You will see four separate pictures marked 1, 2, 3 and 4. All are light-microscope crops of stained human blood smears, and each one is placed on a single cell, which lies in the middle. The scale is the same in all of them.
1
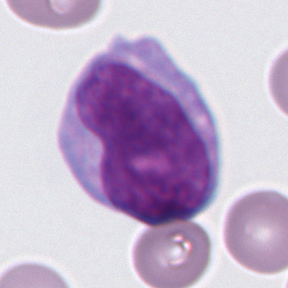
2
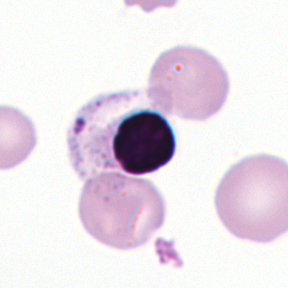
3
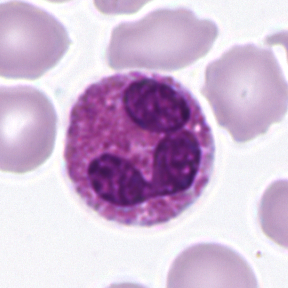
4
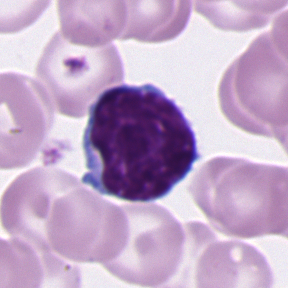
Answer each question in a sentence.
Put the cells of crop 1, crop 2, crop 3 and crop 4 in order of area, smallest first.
Going up, they run 2, 4, 3, 1.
